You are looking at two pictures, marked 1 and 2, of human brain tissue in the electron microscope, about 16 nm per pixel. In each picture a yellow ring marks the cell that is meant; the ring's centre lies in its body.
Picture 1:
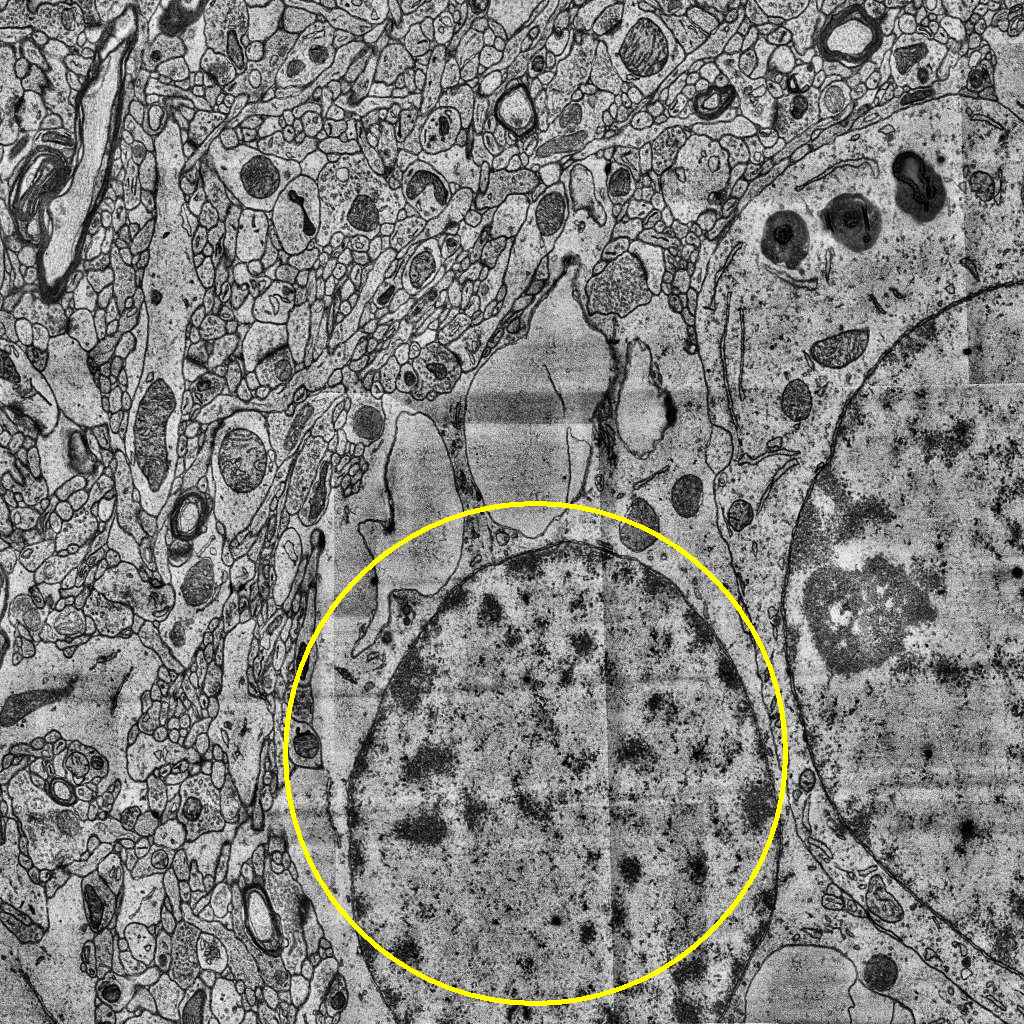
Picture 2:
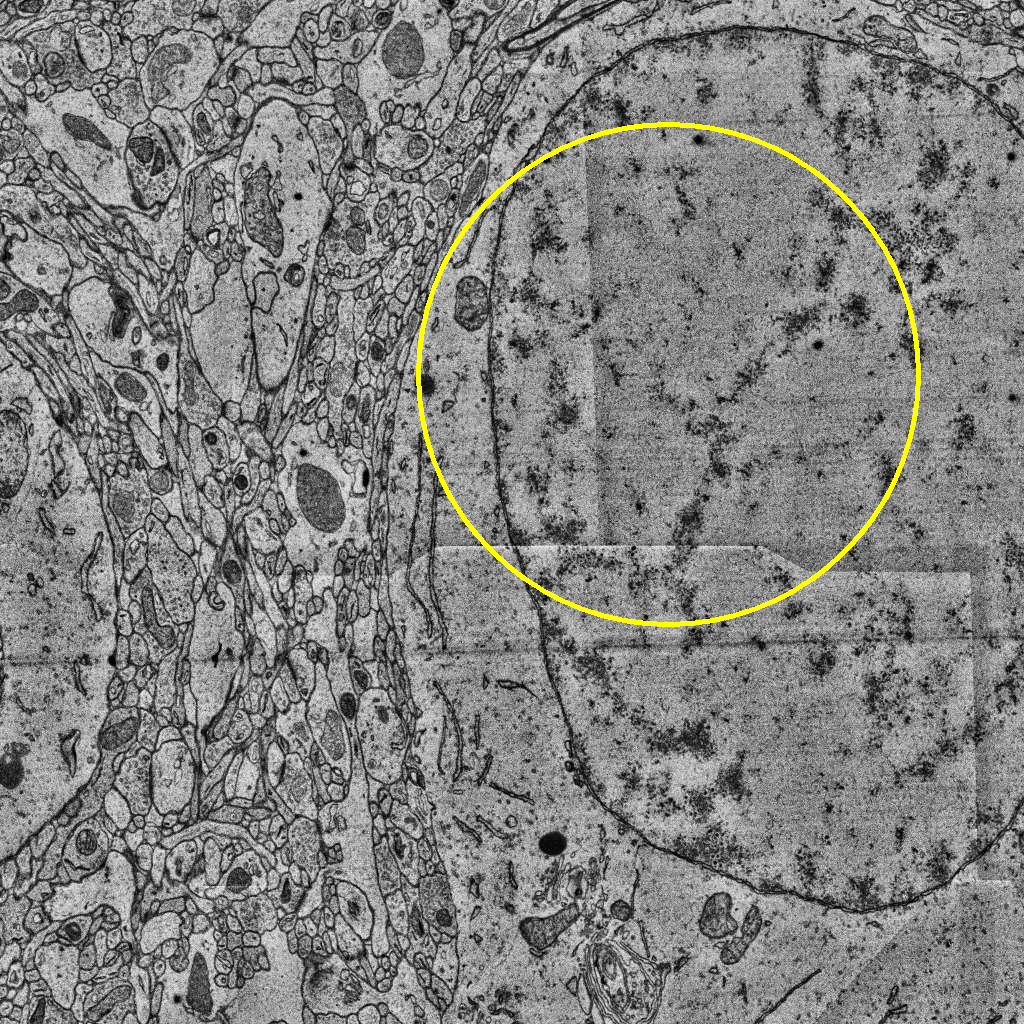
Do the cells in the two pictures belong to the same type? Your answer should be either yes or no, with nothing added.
no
